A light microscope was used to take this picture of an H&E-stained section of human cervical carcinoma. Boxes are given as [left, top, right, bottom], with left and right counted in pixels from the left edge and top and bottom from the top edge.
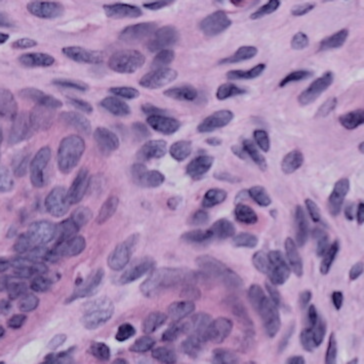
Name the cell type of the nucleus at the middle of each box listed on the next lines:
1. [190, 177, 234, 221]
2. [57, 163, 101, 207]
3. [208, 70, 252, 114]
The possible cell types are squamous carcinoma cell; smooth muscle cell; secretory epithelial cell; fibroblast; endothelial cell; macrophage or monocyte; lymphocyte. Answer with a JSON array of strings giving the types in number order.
["endothelial cell", "secretory epithelial cell", "fibroblast"]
